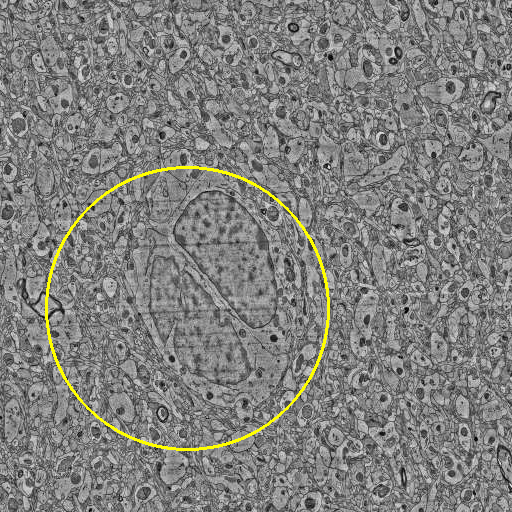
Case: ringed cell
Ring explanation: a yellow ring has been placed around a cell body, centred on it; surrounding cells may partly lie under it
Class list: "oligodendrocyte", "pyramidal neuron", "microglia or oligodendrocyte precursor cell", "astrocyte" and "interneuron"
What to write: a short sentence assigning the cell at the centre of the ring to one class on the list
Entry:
The cell at the ring's centre is an interneuron.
